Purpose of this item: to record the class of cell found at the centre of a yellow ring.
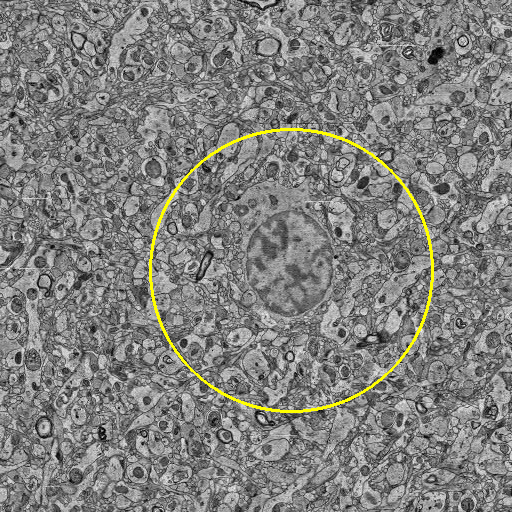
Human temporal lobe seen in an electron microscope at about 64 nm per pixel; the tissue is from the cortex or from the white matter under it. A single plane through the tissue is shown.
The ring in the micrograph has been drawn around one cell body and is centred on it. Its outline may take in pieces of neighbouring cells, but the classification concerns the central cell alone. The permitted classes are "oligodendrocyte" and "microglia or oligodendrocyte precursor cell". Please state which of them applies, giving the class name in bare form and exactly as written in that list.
oligodendrocyte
